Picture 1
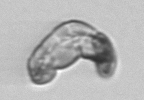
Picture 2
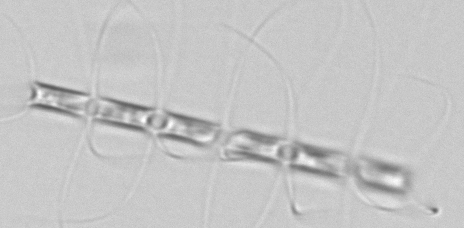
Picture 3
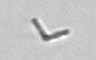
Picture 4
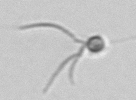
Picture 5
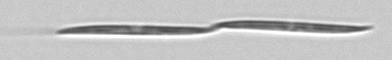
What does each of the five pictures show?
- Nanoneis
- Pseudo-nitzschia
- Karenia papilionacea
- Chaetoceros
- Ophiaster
1. Karenia papilionacea
2. Chaetoceros
3. Nanoneis
4. Ophiaster
5. Pseudo-nitzschia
